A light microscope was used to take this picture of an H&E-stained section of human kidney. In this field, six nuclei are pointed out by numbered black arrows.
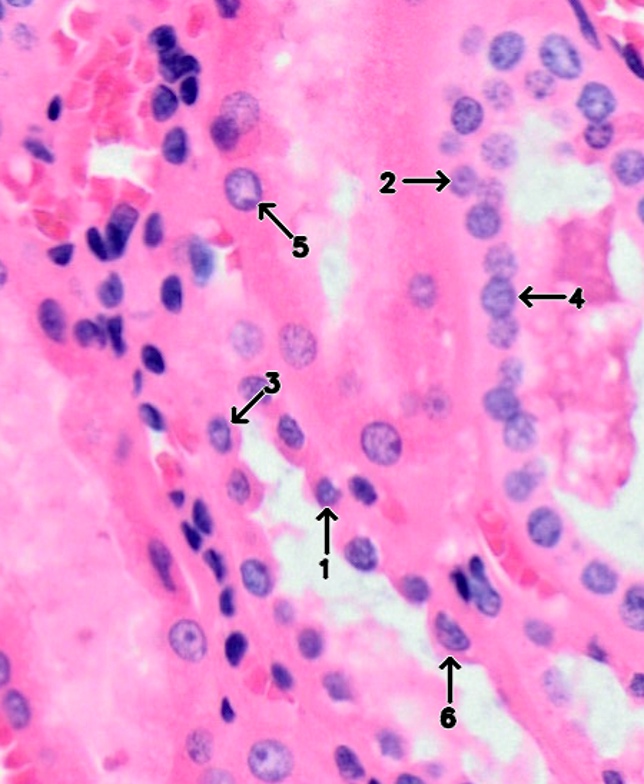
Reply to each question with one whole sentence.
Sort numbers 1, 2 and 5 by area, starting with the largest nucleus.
By area, largest first, they run 5, 2, 1.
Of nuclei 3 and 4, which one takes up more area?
Number 4 is larger; its area is about 2 times that of number 3.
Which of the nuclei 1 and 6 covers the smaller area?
With nucleus 6 about 2 times its size, nucleus 1 is the smaller of the two.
